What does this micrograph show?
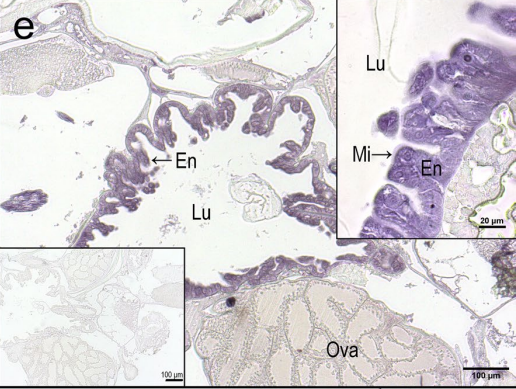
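Section through the intestine, whose wall is a deeply folded epithelium of tall columnar enterocytes, stained purple, surrounding a wide gut lumen. At higher magnification the enterocytes stand side by side with rounded nuclei and bear a fringe of microvilli on the side facing the lumen. Below the gut lies part of the ovary, with large pale cells separated by thin walls.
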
